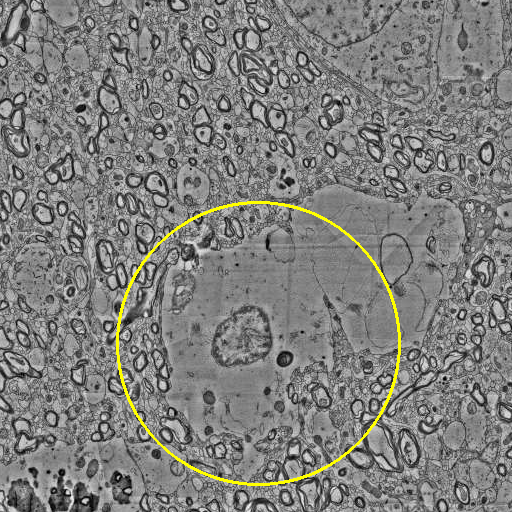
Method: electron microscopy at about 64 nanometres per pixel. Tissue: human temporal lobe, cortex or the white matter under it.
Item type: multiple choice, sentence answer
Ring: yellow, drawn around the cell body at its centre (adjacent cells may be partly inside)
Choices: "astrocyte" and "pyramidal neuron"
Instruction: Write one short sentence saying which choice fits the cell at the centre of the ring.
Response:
This ring is drawn around an astrocyte.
